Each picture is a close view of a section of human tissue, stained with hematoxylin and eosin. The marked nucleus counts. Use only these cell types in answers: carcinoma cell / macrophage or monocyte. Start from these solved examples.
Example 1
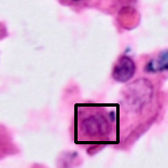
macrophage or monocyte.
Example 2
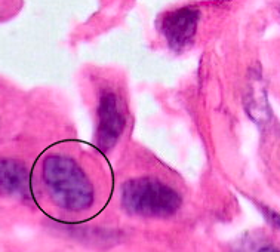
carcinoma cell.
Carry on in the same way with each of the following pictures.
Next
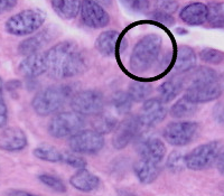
carcinoma cell.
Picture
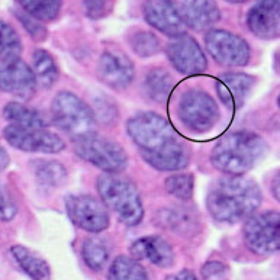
carcinoma cell.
